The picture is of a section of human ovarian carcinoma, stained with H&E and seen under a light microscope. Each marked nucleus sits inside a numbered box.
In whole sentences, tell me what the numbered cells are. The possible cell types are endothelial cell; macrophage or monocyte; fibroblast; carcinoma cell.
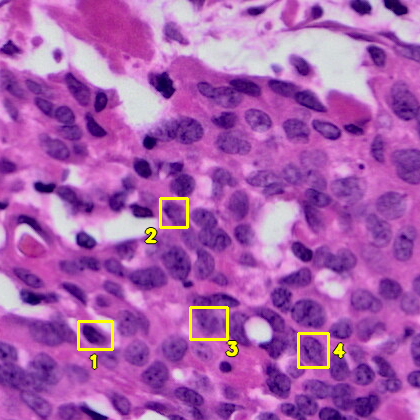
Cell 1 is a macrophage or monocyte, cell 2 is a carcinoma cell, cell 3 is a carcinoma cell and cell 4 is a carcinoma cell.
